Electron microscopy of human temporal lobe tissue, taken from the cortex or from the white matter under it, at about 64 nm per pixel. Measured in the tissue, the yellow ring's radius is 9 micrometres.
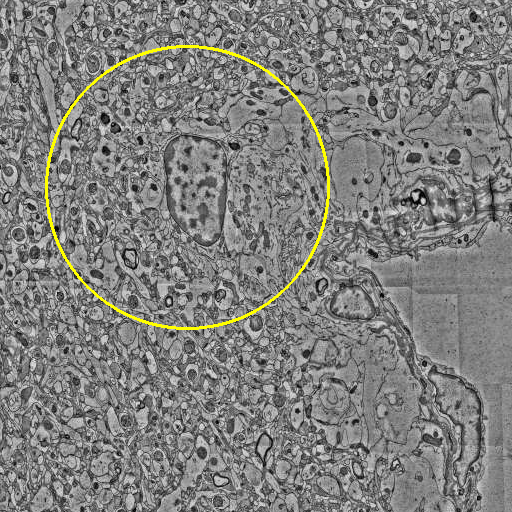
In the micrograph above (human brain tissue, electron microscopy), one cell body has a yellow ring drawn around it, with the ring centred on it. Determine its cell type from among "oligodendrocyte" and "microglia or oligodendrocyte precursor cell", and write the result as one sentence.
The cell whose body is ringed is a microglial cell or oligodendrocyte precursor cell.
